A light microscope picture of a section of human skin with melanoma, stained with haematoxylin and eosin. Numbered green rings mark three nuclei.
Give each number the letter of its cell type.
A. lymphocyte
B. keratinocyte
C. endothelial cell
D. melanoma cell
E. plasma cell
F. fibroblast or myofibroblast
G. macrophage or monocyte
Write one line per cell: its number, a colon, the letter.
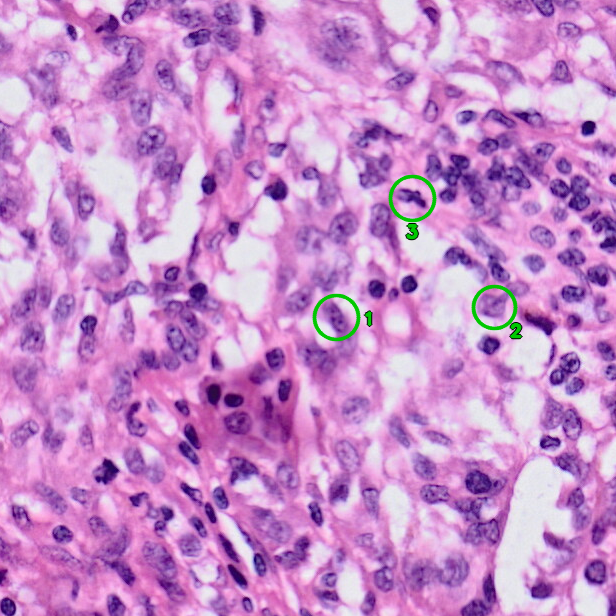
1: D
2: G
3: A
